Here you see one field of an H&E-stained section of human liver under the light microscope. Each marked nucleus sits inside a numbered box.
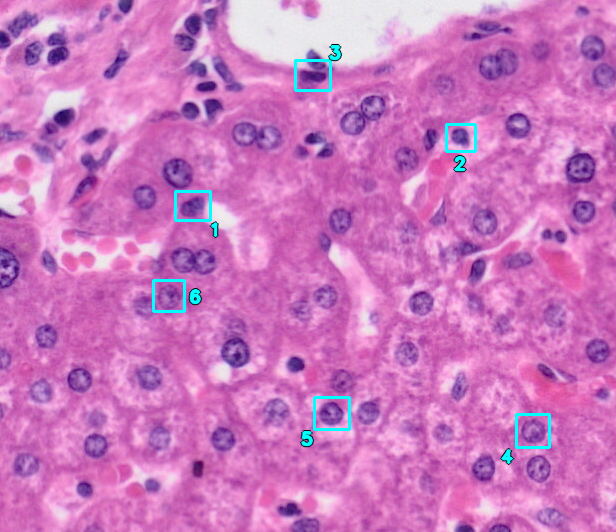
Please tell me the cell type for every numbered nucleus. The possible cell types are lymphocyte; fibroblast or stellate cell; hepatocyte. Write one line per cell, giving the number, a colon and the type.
1: fibroblast or stellate cell
2: lymphocyte
3: fibroblast or stellate cell
4: hepatocyte
5: hepatocyte
6: hepatocyte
